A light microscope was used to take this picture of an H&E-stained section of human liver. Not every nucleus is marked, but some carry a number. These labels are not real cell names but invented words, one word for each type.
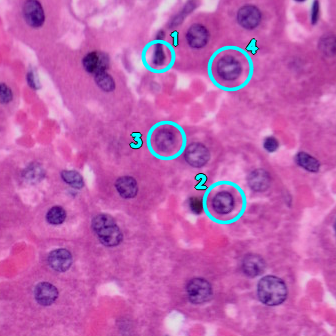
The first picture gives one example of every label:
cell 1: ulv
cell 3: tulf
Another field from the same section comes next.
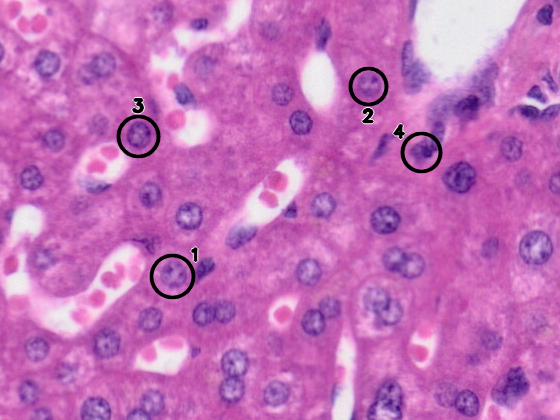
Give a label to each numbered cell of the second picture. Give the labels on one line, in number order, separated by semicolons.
tulf; tulf; tulf; ulv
